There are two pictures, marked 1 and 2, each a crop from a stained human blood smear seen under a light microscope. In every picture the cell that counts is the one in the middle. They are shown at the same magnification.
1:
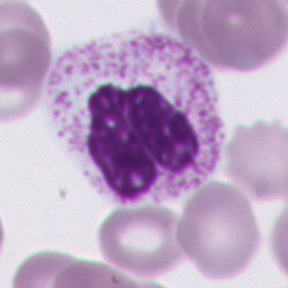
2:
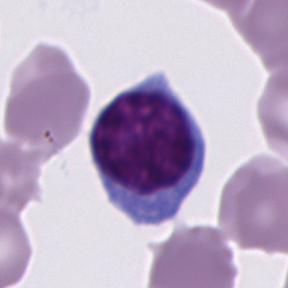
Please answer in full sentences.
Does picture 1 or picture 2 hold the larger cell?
Larger is the cell in picture 1, at roughly 2 times the area of the other.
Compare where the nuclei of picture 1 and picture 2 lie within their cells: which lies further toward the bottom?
It is the nucleus in picture 1 that lies further toward the bottom of its cell.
